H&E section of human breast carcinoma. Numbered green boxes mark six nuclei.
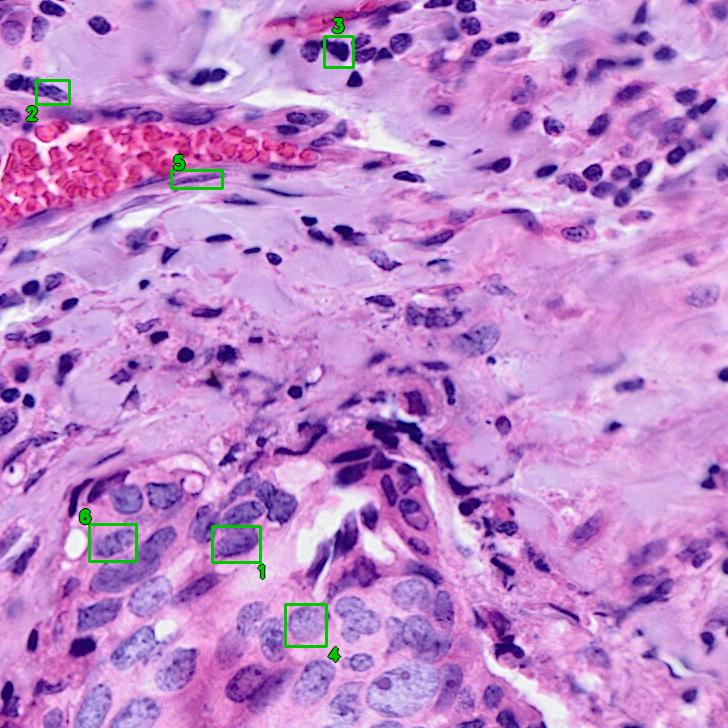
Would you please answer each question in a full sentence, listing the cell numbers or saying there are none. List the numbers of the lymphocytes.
The cells identified by the numbers 2 and 3 are lymphocytes.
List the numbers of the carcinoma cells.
In this section, the cells numbered 1, 4 and 6 are carcinoma cells.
